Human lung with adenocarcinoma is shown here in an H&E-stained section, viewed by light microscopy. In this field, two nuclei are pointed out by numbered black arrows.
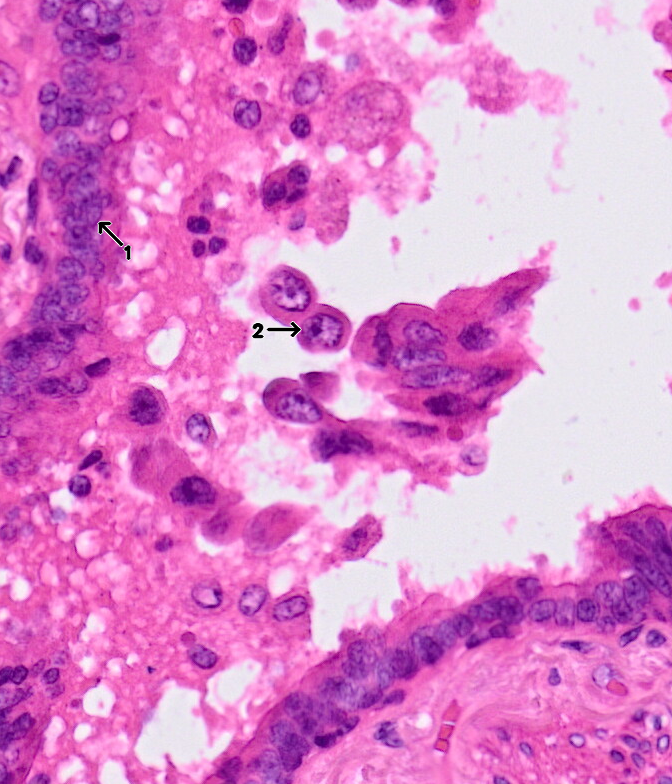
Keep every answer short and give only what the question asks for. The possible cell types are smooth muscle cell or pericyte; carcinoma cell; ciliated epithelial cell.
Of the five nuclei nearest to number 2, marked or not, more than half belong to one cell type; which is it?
carcinoma cell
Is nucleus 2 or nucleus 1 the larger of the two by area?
2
